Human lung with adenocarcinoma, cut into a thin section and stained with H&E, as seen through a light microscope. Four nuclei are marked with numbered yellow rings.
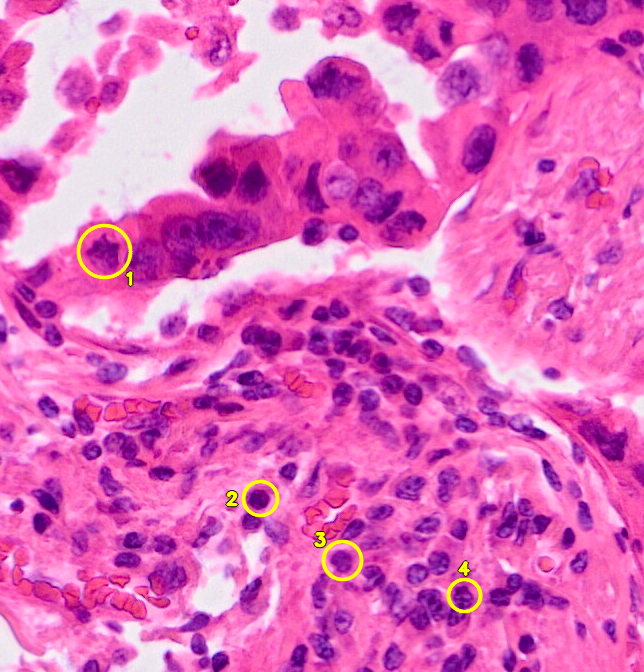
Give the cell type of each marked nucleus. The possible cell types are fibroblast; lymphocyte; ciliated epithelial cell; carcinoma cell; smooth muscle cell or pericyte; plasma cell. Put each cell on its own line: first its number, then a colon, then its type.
1: carcinoma cell
2: plasma cell
3: plasma cell
4: plasma cell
